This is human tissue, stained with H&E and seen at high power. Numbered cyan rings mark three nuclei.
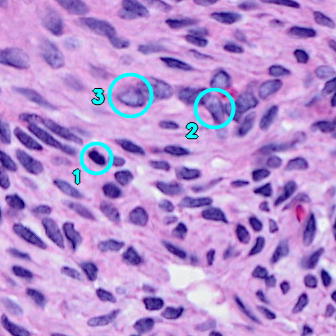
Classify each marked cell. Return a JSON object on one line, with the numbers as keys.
{"1": "lymphocyte", "2": "endothelial cell", "3": "endothelial cell"}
